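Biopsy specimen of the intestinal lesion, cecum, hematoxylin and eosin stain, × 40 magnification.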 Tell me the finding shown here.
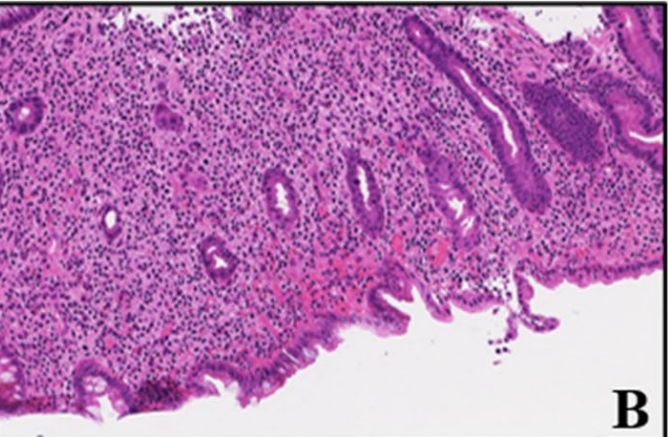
expanded lamina propria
